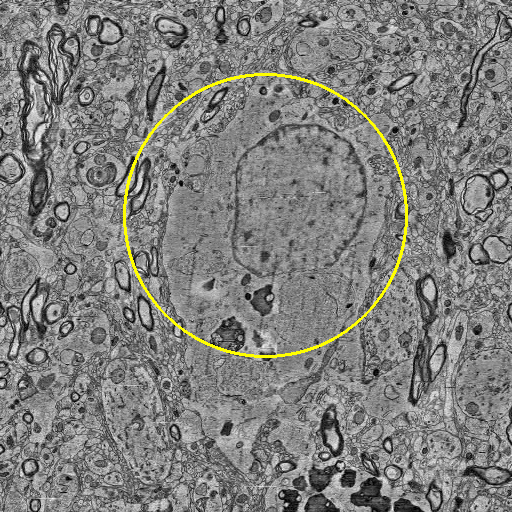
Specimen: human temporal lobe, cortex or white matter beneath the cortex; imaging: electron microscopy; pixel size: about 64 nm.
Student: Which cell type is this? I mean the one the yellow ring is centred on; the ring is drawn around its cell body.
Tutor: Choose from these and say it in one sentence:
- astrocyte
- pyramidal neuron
The cell the ring is centred on is an astrocyte.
